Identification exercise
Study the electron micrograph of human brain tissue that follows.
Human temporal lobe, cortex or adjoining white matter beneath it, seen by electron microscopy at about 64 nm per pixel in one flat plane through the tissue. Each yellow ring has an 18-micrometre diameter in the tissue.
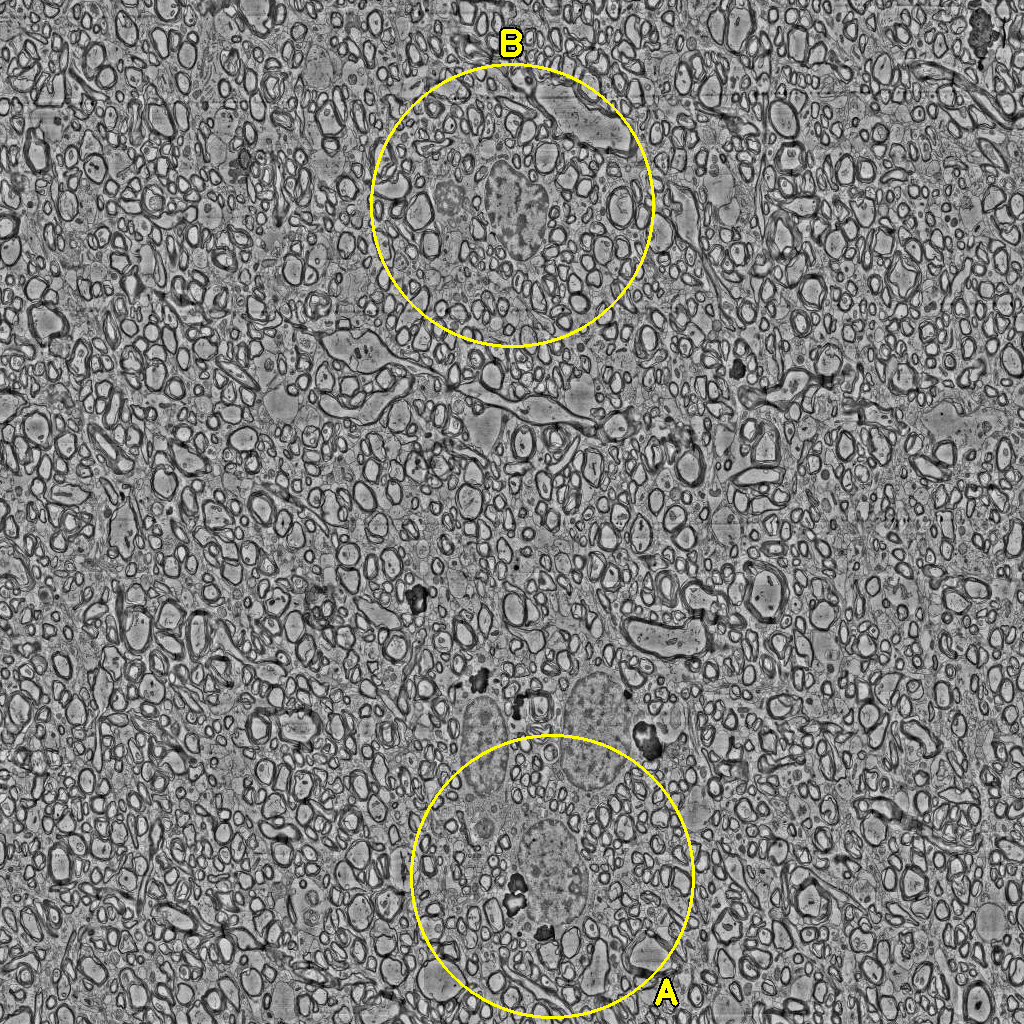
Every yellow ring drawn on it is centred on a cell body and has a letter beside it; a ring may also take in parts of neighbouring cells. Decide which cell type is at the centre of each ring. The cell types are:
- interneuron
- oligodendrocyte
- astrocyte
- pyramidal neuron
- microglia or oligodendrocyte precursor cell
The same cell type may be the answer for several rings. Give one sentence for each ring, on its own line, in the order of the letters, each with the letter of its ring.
Ring A encircles an oligodendrocyte.
Ring B encircles a microglial cell or oligodendrocyte precursor cell.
